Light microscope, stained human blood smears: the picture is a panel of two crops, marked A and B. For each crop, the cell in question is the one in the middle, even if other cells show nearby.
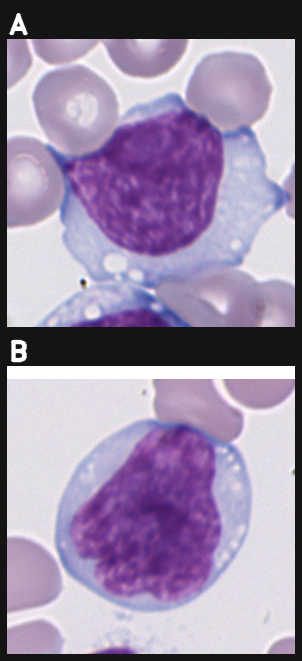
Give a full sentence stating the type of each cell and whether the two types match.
Yes, the two crops show myeloblasts at their centres.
